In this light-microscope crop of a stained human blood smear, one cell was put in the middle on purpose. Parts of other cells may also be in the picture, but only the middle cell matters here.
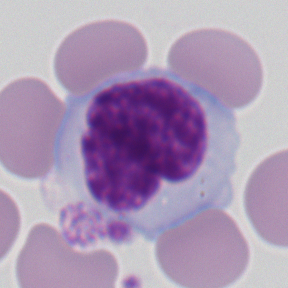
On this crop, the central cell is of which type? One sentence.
In the middle of this smear crop, the cell is a typical lymphocyte.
